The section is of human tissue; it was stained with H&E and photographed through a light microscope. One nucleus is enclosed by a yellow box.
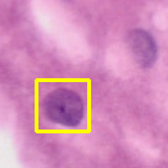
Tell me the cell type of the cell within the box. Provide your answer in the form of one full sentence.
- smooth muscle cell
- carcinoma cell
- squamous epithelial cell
In short, the cell within the box on this section is a squamous epithelial cell.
